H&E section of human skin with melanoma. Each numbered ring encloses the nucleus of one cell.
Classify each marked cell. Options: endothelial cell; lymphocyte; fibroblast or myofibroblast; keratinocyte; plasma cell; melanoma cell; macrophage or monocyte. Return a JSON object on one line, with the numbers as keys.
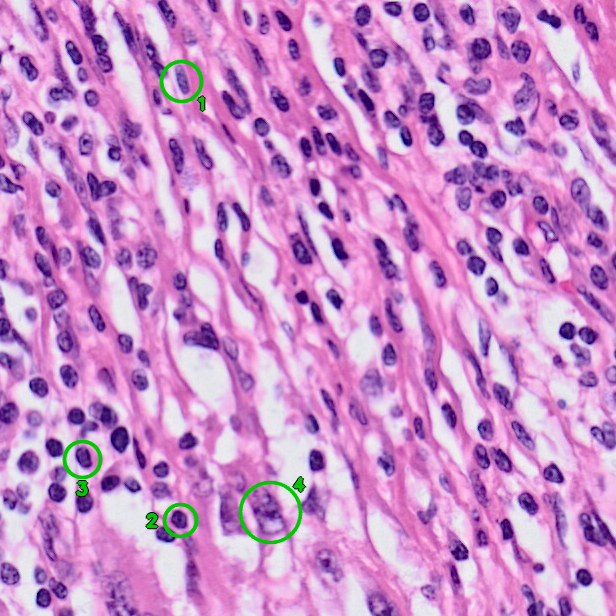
{"1": "lymphocyte", "2": "lymphocyte", "3": "lymphocyte", "4": "melanoma cell"}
